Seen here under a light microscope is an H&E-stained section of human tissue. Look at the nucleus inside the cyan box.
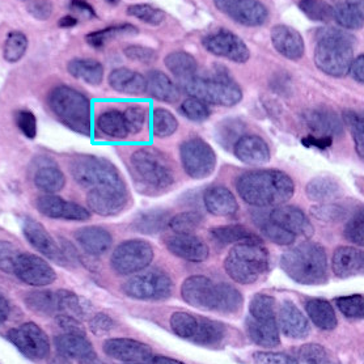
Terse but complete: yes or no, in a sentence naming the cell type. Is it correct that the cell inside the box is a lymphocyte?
No, instead of a lymphocyte, the cell inside the box is a carcinoma cell.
